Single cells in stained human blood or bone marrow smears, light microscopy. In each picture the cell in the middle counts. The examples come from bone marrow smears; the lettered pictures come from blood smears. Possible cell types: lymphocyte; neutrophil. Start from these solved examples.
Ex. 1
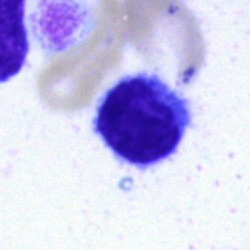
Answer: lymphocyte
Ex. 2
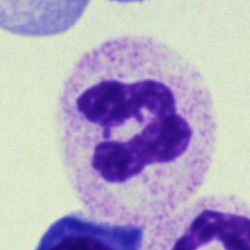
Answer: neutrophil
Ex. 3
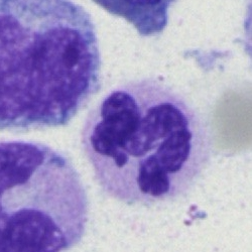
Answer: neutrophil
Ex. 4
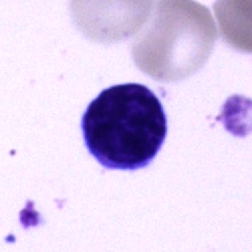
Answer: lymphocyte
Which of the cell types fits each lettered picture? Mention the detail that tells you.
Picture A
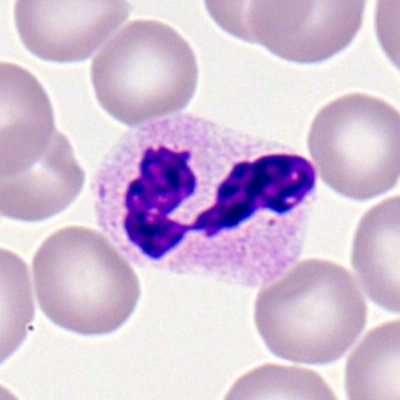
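Answer: neutrophil. The nucleus consists of two lobes joined by a narrower band of nuclear material.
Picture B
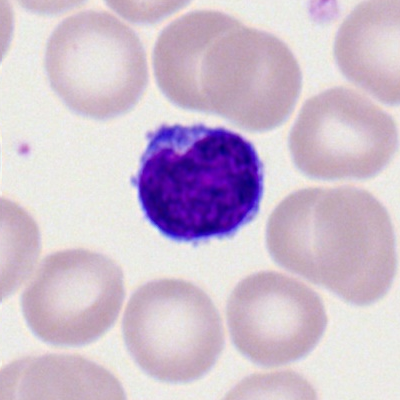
Answer: lymphocyte. The nucleus fills almost the whole cell.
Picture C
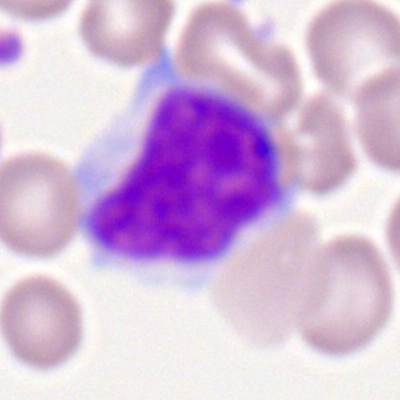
Answer: lymphocyte. The nucleus fills most of the cell.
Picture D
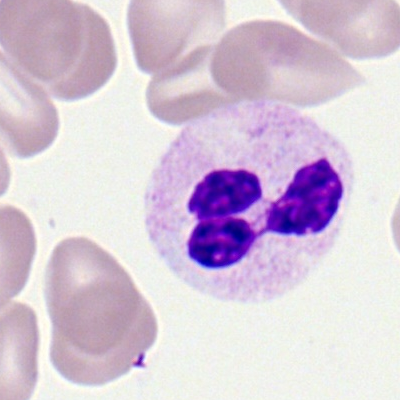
Answer: neutrophil. The cytoplasm is abundant and pale pink-lilac.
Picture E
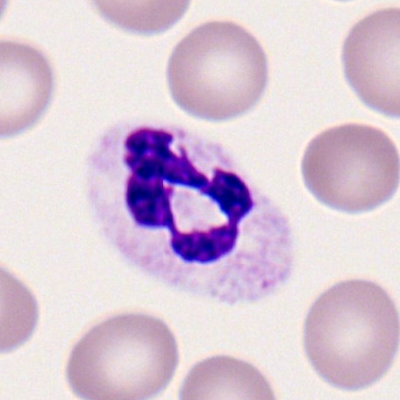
Answer: neutrophil. The cytoplasm is abundant and pale pinkish-lilac.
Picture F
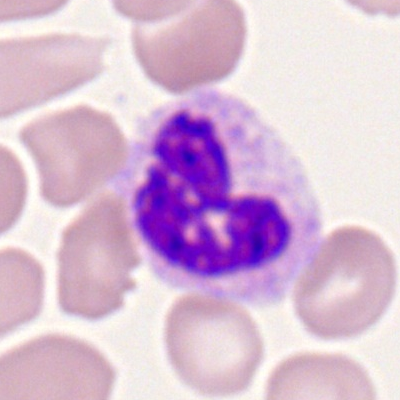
Answer: neutrophil. The nucleus is bent into a curved, horseshoe-like shape.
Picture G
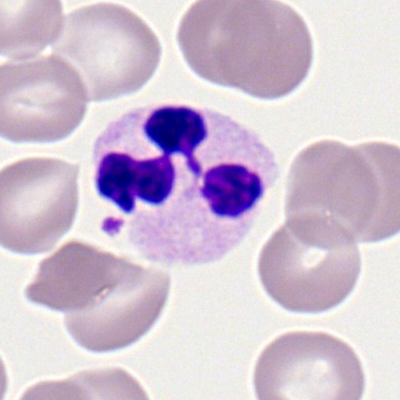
Answer: neutrophil. The cytoplasm is abundant and pale pink-lilac.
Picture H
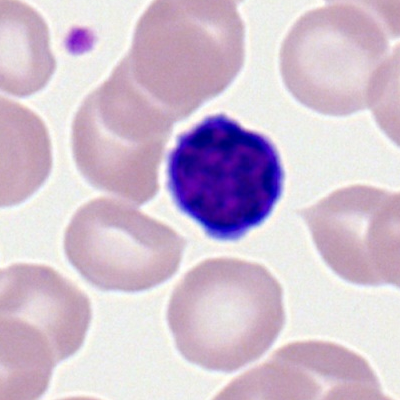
Answer: lymphocyte. Cytoplasm is scant, showing at most as a very thin rim at the edge.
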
